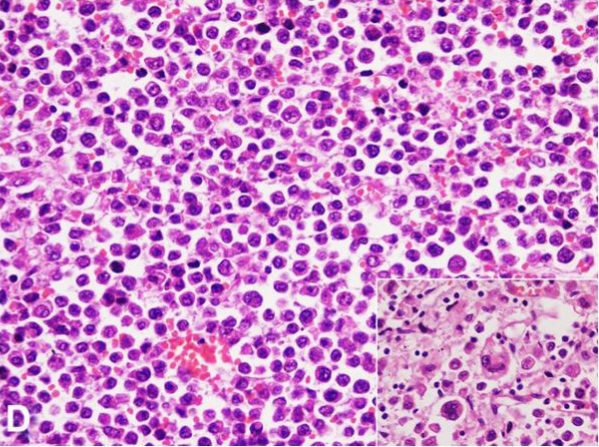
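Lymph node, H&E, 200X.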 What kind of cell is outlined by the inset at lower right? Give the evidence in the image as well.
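Large cells with abundant pink cytoplasm in the inset. Nuclei that are curved or folded into several lobes. That points to this answer: hallmark cells.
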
